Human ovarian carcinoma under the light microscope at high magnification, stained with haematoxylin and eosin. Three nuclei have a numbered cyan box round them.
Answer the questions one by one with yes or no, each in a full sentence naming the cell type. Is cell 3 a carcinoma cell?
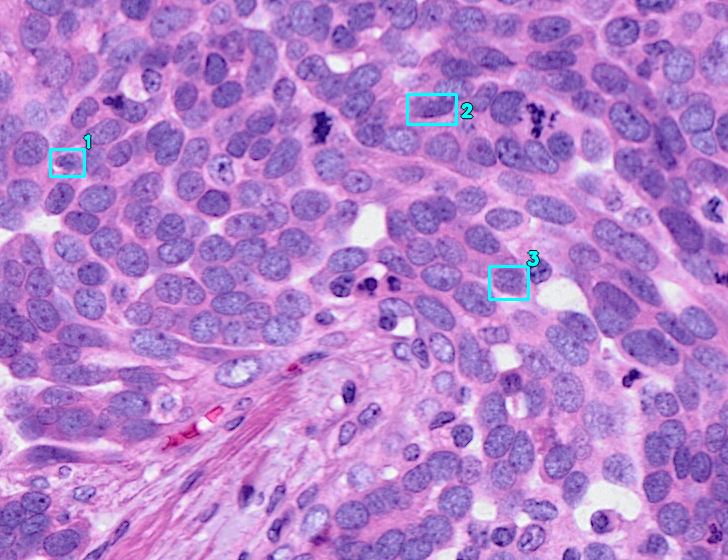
Yes, that is right: the cell labelled 3 is a carcinoma cell.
